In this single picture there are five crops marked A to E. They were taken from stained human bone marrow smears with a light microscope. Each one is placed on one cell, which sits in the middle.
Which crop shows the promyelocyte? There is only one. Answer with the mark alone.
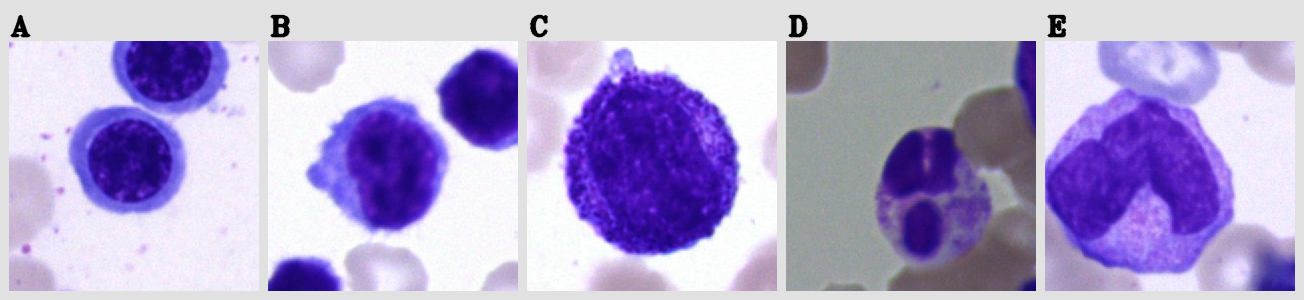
C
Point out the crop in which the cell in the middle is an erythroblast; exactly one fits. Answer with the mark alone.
A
